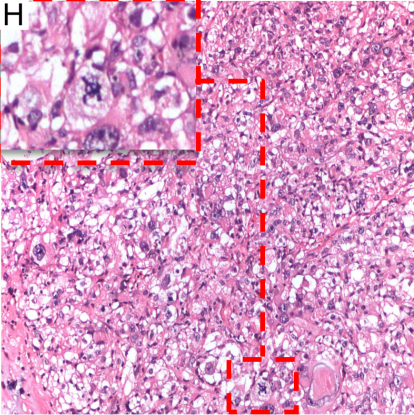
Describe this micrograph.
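This is a tumor made of sheets of large, polygonal, epithelioid cells with abundant clear to pale pink, finely vacuolated cytoplasm and distinct cell borders. In the enlarged inset, one large cell shows dark, clumped, irregular chromatin without a nuclear membrane, an abnormal mitotic figure.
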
